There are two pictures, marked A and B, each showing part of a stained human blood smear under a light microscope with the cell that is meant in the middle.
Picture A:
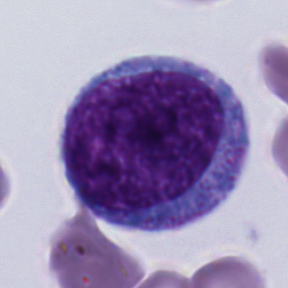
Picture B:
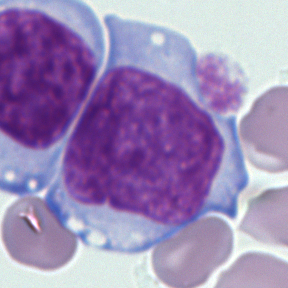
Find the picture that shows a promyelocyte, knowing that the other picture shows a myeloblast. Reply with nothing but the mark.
A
